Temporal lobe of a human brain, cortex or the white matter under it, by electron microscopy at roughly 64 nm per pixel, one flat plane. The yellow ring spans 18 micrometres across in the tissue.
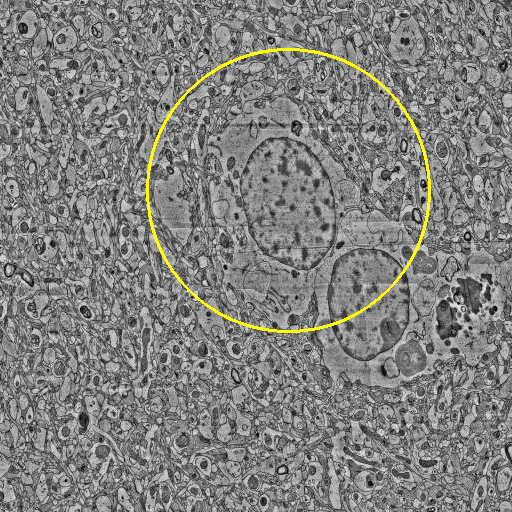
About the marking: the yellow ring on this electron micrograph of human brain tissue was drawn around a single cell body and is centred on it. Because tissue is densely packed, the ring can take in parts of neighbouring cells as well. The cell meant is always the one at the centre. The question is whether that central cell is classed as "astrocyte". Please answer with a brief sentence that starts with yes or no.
Yes, the central cell is classed that way.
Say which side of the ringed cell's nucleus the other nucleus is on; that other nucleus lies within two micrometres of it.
That other nucleus sits to the lower right of it.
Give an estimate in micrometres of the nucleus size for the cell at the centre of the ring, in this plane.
Roughly 9 by 6 micrometres is the size of the nucleus in this plane.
